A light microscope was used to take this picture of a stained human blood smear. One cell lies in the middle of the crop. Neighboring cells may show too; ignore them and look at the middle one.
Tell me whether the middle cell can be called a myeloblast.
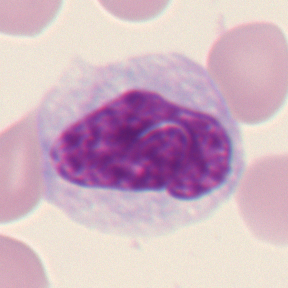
no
